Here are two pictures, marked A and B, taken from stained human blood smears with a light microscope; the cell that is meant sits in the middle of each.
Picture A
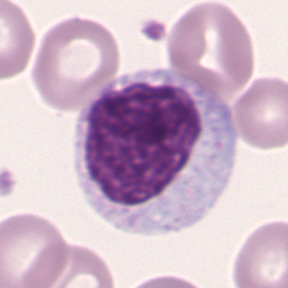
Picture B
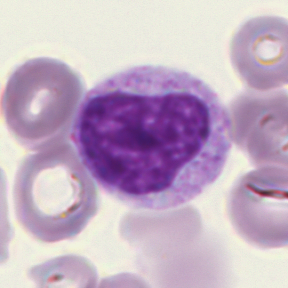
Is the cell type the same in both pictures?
yes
